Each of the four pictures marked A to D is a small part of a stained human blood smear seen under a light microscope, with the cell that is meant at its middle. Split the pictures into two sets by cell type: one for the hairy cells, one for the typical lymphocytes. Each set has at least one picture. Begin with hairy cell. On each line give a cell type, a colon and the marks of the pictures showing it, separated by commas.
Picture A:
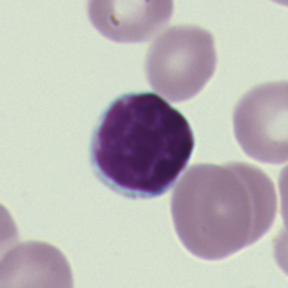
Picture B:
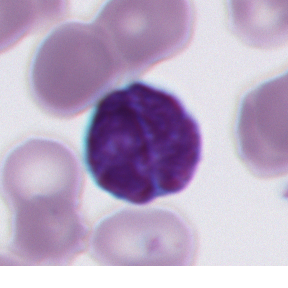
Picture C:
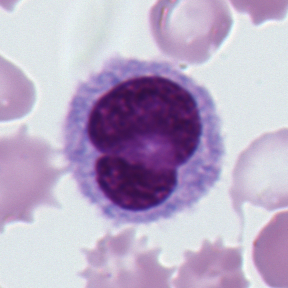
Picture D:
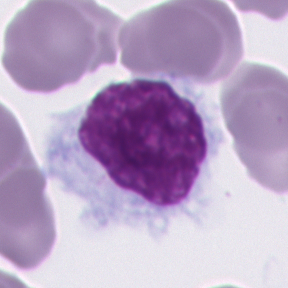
hairy cell: C, D
typical lymphocyte: A, B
